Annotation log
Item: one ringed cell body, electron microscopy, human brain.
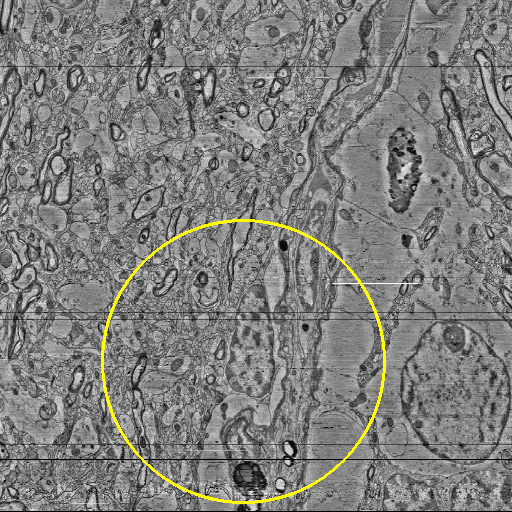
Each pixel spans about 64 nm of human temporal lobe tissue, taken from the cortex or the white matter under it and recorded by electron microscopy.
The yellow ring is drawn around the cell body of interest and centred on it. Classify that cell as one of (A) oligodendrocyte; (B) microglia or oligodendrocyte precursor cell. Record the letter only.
B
